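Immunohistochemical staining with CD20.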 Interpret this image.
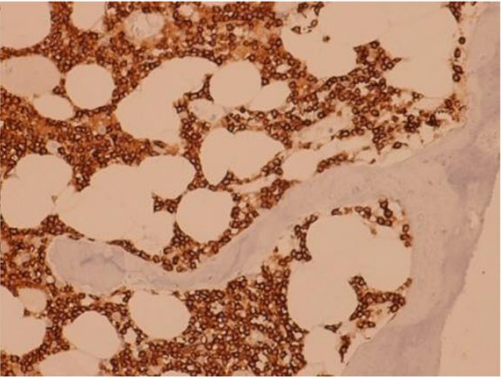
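A pale gray-blue unstained band of bone runs across the lower right. Above and beside it, many small round cells are packed together, their outlines rimmed by brown stain, giving a ring-like look around each cell with a paler center. Large clear round empty spaces of fat cells lie among the stained cells, which fill the gaps between them and press up against the bone surface. Nearly all small cells in the field carry the brown stain.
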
